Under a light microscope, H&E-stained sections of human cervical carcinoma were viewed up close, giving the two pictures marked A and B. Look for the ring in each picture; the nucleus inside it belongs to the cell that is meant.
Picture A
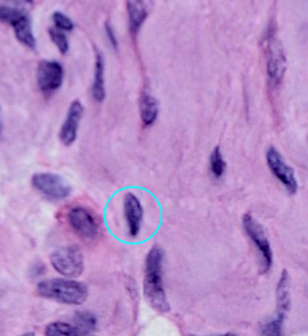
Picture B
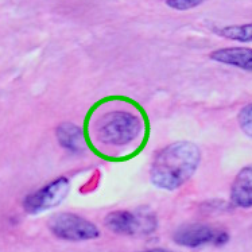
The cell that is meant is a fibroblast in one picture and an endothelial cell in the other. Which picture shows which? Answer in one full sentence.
In picture A the cell is a fibroblast; in picture B, an endothelial cell.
